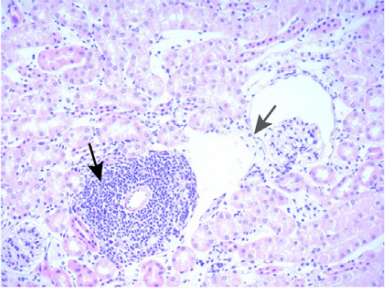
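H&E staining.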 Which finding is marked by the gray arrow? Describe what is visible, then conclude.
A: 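Peri-glomerular vacuolation. A large clear empty space lies beside a glomerulus.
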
